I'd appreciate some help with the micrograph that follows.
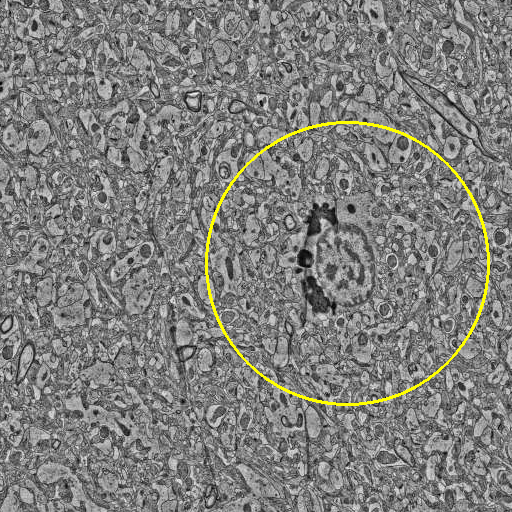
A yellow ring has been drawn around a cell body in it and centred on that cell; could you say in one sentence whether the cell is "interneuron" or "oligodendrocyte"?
It is an oligodendrocyte at the centre of the ring.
